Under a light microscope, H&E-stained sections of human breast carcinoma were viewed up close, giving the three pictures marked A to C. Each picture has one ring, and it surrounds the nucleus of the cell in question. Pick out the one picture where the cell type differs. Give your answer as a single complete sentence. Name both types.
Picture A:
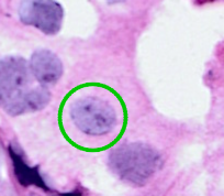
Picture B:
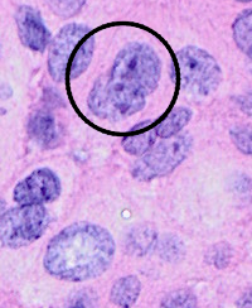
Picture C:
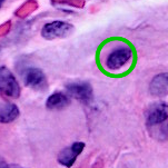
Picture C is the odd one out: it shows a mast cell, while the others show carcinoma cells.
